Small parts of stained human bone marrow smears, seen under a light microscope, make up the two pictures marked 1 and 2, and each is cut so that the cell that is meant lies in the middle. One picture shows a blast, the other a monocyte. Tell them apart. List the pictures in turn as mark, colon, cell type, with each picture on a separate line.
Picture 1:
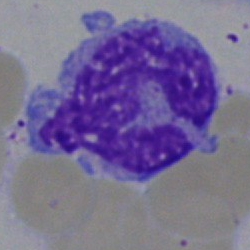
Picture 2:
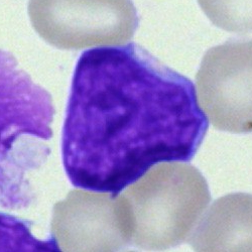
1: monocyte
2: blast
